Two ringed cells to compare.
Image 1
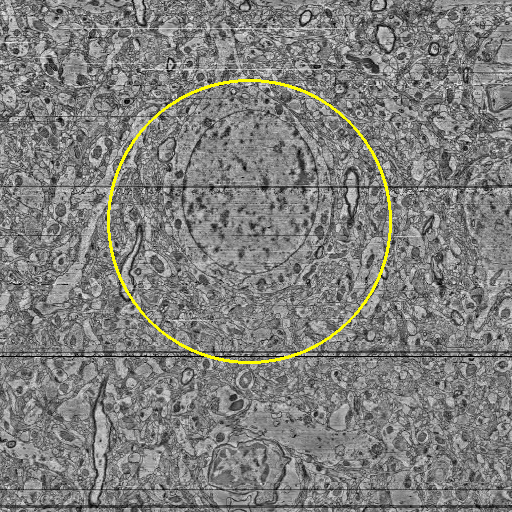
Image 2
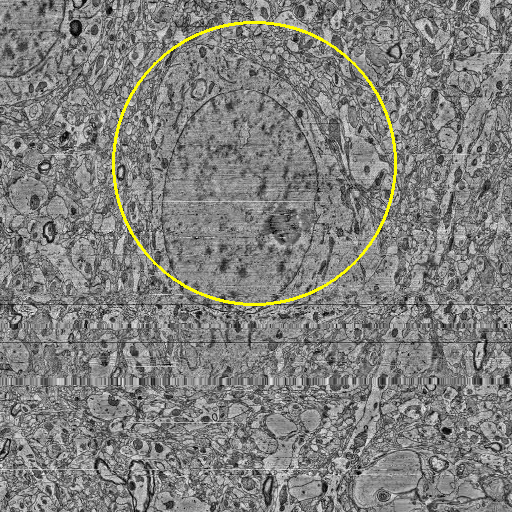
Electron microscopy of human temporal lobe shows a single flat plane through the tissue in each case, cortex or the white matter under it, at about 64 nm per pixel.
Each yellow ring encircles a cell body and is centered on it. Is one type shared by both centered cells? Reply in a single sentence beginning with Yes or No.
Yes, a single type is shared by the two cells at the centers of the rings.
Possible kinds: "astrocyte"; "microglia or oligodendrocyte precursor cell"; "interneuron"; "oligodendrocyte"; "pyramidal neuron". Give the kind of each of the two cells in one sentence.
The second cell is a pyramidal neuron, just as the first is.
